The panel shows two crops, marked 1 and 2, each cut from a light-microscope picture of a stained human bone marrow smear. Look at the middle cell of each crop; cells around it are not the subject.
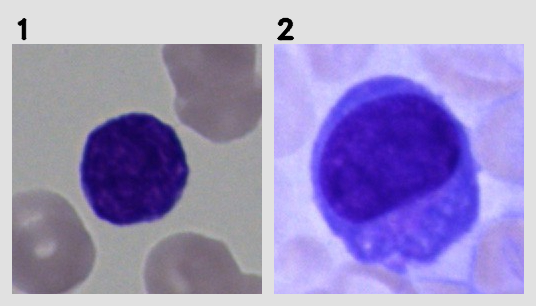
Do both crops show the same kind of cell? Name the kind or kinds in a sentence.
Yes, both crops show blasts, and the two match.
